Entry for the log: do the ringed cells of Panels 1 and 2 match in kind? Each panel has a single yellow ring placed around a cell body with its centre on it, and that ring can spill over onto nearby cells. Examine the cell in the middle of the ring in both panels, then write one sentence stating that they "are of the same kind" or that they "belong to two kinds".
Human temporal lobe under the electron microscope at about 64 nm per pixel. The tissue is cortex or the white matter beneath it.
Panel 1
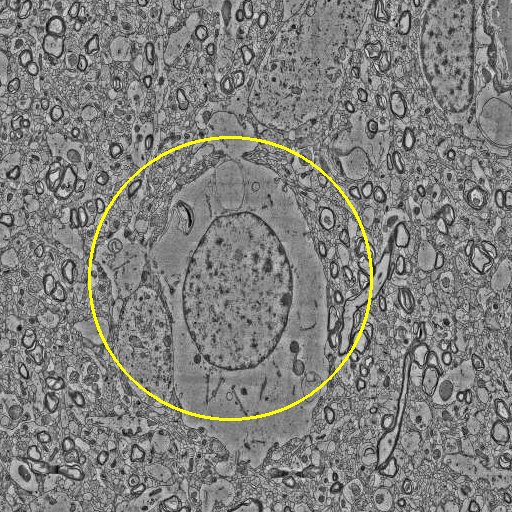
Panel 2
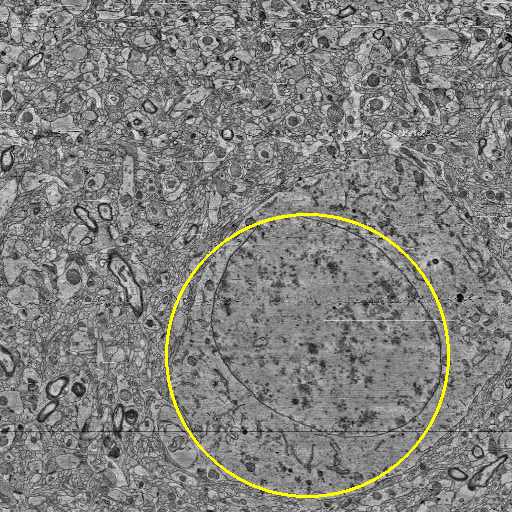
The centre cell of Panel 1's ring and that of Panel 2's ring belong to two kinds.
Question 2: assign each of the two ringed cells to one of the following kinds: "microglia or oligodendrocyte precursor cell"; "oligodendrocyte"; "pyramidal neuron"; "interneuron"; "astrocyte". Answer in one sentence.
The two cells are an astrocyte in the first picture and a pyramidal neuron in the second.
